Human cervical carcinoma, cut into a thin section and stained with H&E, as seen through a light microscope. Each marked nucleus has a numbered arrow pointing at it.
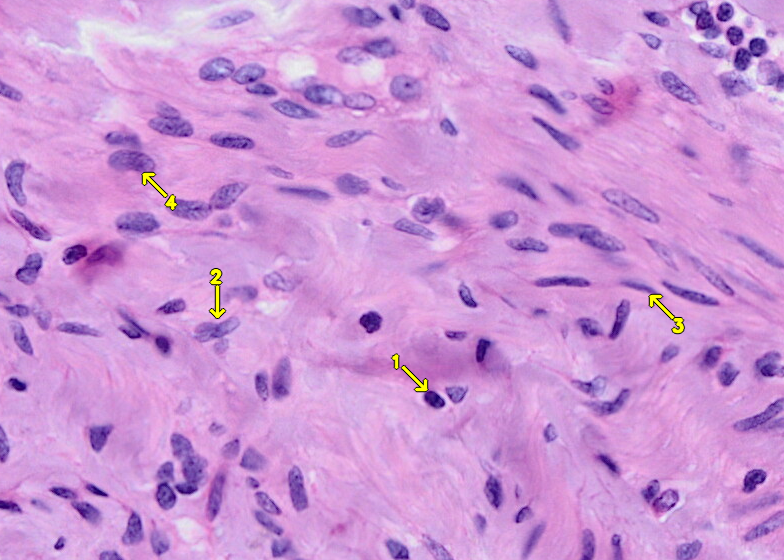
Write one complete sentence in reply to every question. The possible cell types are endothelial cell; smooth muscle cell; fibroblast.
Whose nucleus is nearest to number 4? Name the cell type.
It is a fibroblast whose nucleus is nearest to number 4.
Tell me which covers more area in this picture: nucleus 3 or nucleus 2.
It is nucleus 2, which covers about 2 times the area of nucleus 3.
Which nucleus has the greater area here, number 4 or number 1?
Nucleus 4 is the larger one, covering about 2.5 times the area of nucleus 1.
